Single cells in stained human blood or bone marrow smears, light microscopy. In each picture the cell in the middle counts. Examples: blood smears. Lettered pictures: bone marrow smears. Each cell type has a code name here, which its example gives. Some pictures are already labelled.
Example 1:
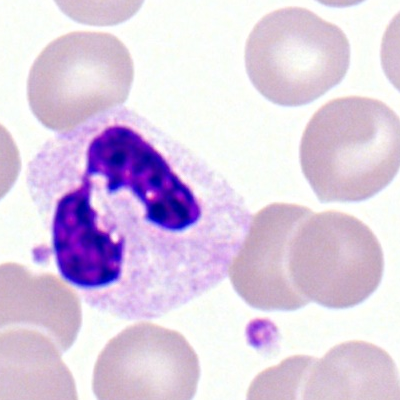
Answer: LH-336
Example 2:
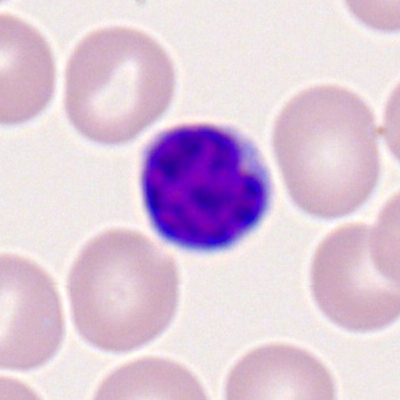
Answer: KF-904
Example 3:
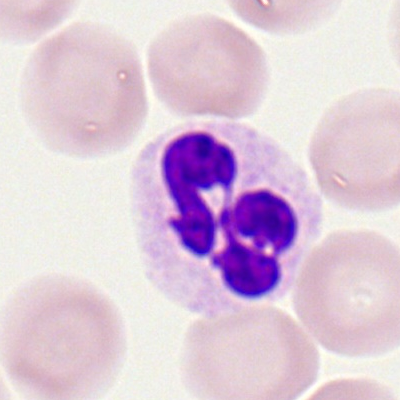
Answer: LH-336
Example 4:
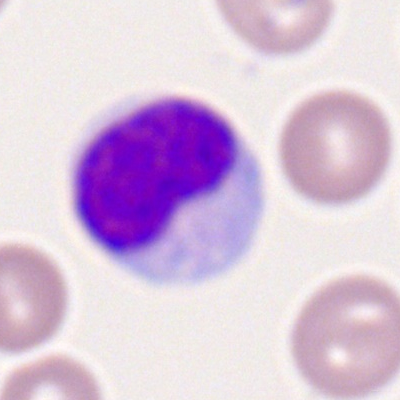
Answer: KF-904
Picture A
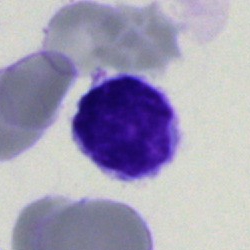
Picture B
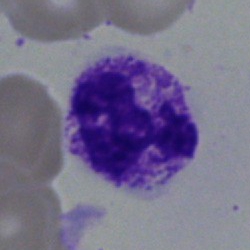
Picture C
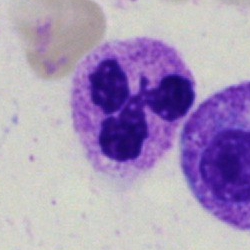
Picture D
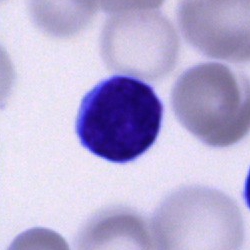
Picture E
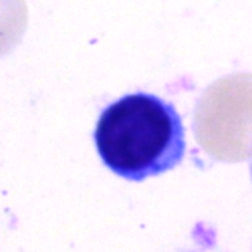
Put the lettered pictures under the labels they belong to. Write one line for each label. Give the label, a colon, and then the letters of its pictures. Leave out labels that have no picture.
LH-336: B, C
KF-904: A, D, E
